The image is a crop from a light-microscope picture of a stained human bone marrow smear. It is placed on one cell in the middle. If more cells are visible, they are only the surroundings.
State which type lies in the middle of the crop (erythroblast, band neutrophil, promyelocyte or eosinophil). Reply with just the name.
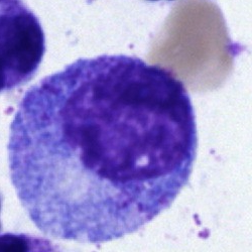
promyelocyte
